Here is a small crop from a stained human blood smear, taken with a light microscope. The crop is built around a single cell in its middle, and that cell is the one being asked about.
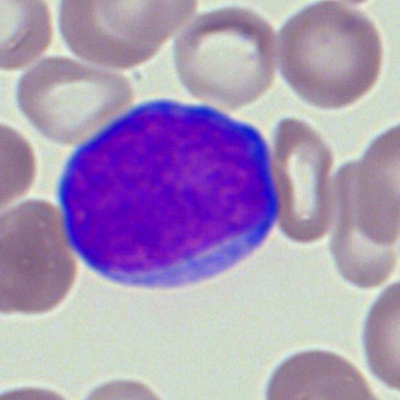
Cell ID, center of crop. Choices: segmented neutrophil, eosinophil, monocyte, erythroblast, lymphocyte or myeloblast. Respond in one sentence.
Where the crop is centred, there is a myeloblast.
